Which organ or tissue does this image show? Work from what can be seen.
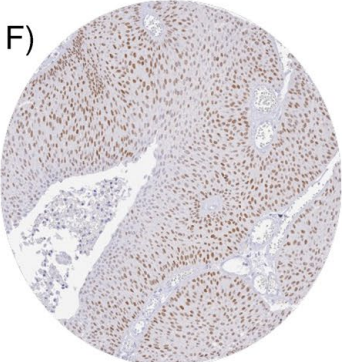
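Thick multilayered sheets of cells with uniform oval nuclei. Thin fibrovascular cores containing blood vessels. Nuclei stain a moderate brown. On this evidence: papillary urothelial carcinoma.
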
